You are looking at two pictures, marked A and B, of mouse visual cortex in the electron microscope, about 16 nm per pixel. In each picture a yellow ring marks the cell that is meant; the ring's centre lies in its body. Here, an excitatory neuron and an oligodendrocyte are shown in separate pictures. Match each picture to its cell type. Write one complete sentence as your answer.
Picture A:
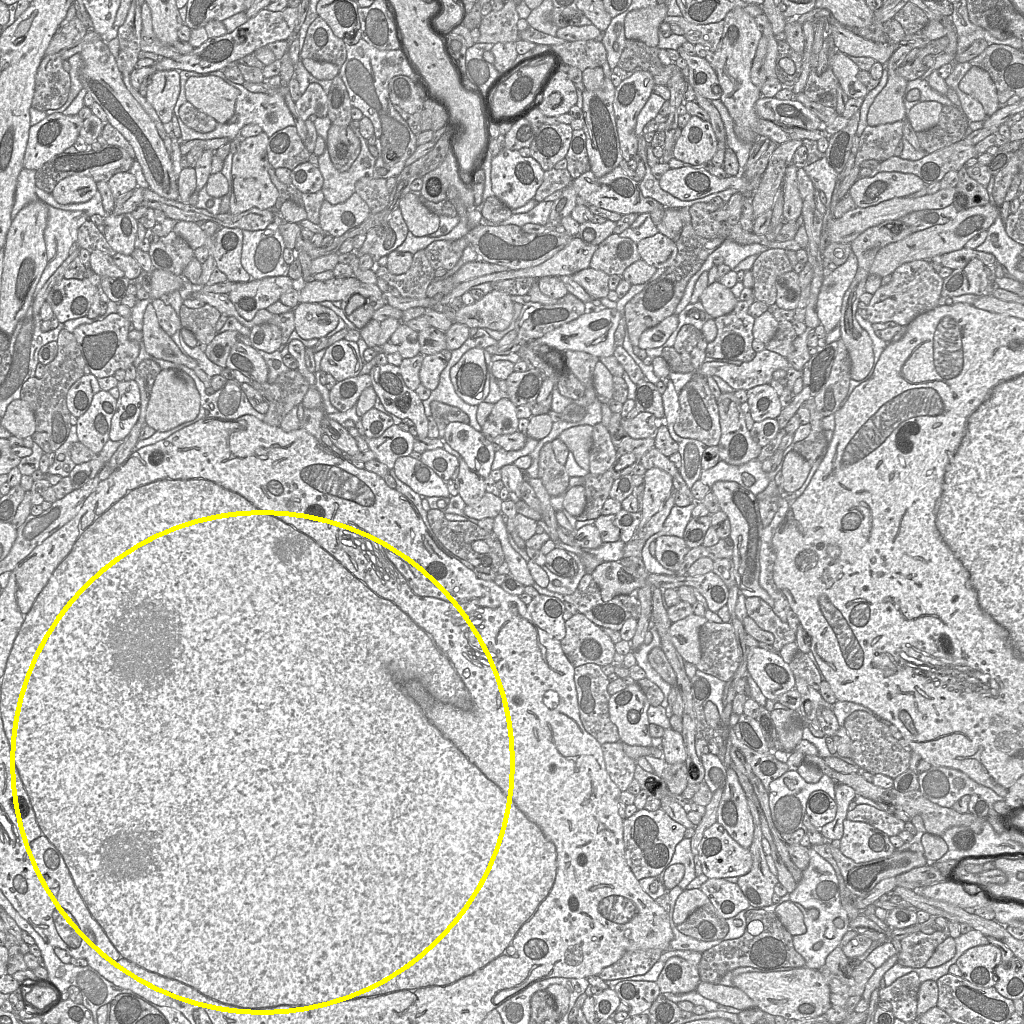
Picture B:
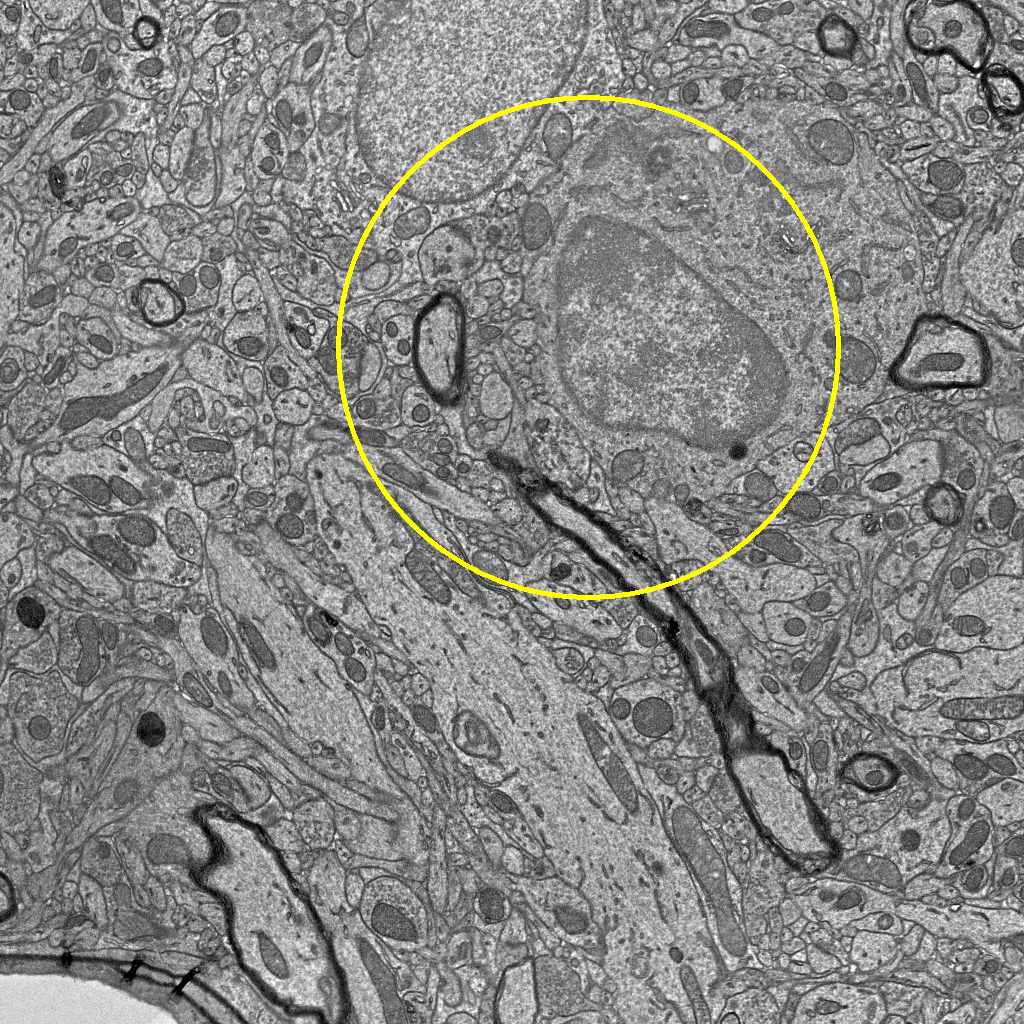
In picture A the cell is an excitatory neuron; in picture B, an oligodendrocyte.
